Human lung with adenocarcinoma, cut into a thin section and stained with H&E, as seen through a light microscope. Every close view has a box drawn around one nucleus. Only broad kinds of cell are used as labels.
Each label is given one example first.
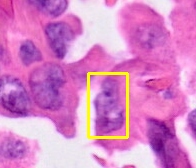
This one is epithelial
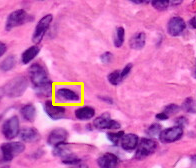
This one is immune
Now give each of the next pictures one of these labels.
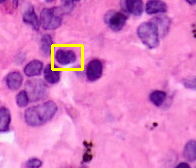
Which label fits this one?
immune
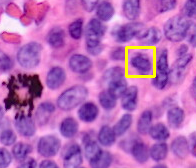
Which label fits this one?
immune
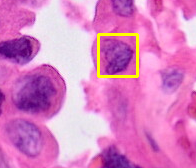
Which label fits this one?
epithelial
